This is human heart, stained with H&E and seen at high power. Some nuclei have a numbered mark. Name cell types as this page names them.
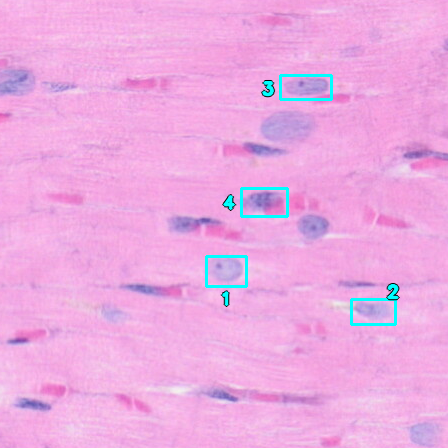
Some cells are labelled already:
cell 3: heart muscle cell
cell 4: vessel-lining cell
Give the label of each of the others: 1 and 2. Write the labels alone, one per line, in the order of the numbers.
heart muscle cell
heart muscle cell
